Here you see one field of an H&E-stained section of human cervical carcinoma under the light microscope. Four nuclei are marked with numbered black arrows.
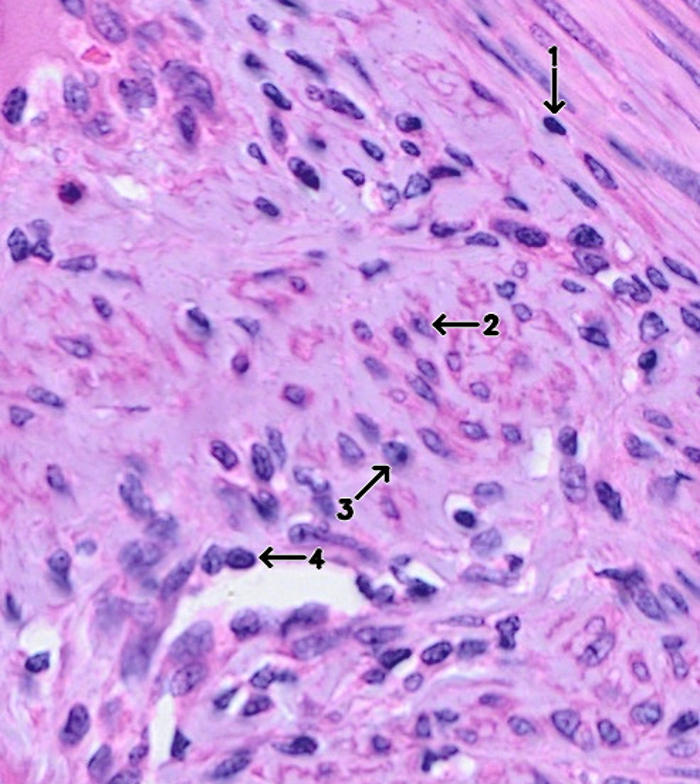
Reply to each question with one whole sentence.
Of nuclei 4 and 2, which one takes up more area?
Nucleus 4 covers more area, about 1.5 times as much as nucleus 2.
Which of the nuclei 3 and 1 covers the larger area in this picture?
Nucleus 3 is larger, with an area about 1.5 times that of nucleus 1.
